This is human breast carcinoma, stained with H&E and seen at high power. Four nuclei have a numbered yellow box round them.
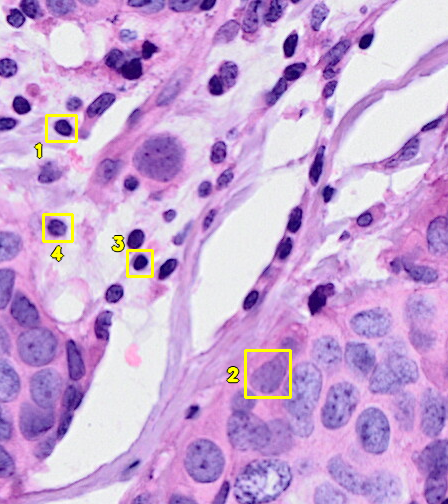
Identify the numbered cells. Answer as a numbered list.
1. lymphocyte
2. carcinoma cell
3. lymphocyte
4. lymphocyte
